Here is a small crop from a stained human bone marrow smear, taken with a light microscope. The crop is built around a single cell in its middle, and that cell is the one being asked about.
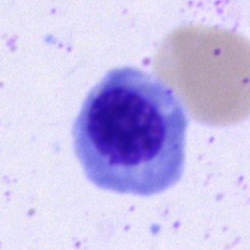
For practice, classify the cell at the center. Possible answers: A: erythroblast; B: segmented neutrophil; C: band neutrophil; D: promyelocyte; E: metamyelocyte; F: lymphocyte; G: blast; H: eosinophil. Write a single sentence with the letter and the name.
The central cell in this crop is an erythroblast, so the correct choice is option A.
